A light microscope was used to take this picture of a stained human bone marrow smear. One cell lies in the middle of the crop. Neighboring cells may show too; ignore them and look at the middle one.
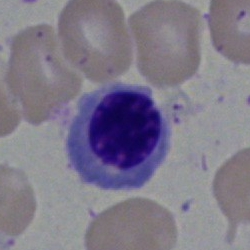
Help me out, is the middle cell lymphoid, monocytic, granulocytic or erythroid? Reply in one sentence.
The cell occupying the middle of the crop is classified within the erythroid lineage.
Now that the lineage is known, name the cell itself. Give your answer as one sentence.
The cell sitting right in the middle is an erythroblast.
